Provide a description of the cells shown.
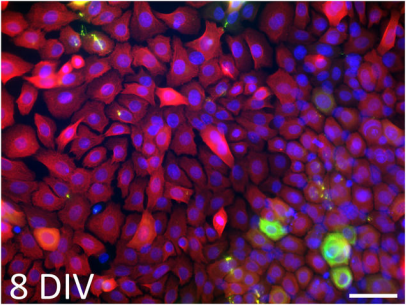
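The cells are flattened and polygonal, packed edge to edge in a cobblestone pattern. Each cell holds a single round to oval nucleus near its centre, surrounded by a broad rim of red cytoplasm. Some cells are larger and spread more widely, while others in the crowded areas are smaller and tightly packed. A few scattered cells at the lower right show a bright green ring in the cytoplasm around the nucleus.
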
